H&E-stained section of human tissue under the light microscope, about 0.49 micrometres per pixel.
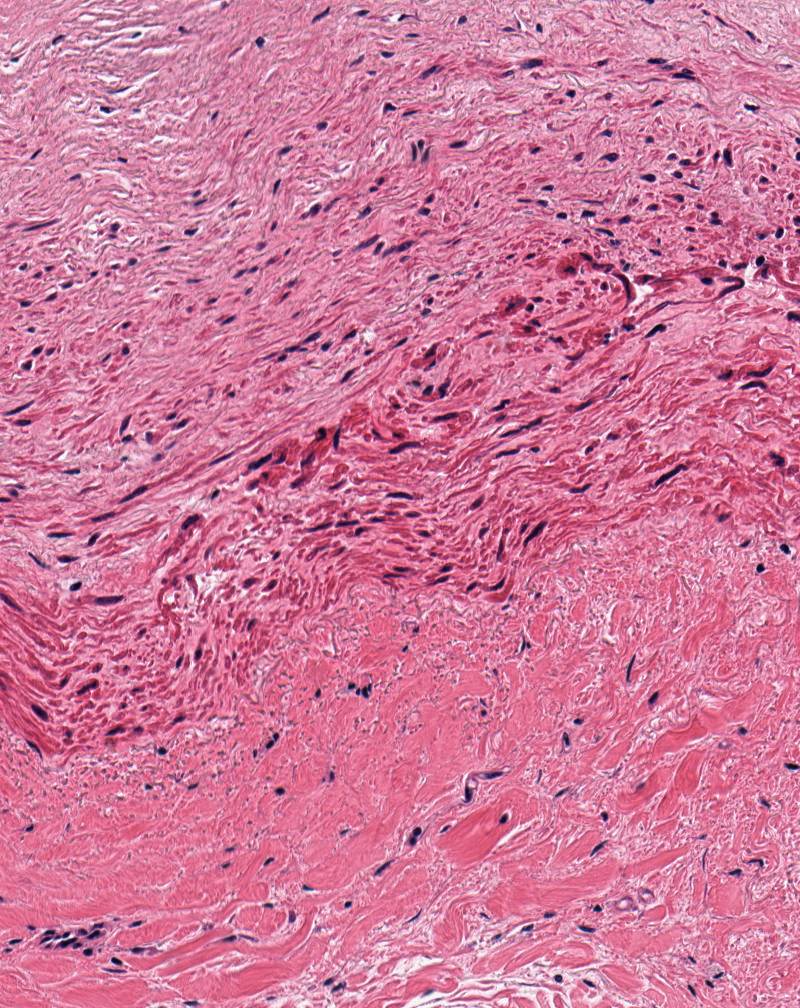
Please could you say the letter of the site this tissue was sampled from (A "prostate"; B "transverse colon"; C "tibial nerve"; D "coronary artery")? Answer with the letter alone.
D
